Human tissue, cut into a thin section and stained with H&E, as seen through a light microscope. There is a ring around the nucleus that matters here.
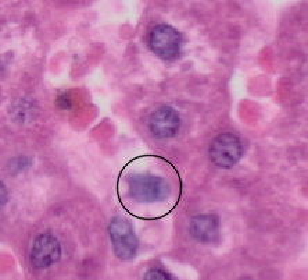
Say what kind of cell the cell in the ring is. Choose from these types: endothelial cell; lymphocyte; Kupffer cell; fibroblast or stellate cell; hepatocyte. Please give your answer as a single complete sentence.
In the tissue under study, the cell in the ring is an endothelial cell.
